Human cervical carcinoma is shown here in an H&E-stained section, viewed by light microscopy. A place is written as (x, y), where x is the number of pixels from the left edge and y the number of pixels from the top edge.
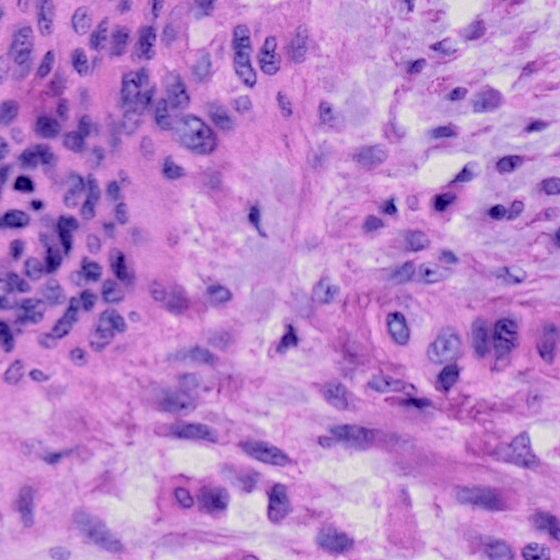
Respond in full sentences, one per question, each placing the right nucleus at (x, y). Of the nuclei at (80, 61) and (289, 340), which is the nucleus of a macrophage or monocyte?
Of the two nuclei, the one sitting at (289, 340) belongs to a macrophage or monocyte.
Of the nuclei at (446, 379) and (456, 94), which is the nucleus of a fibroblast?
Heads up, the nucleus at (456, 94) is the one that belongs to a fibroblast.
